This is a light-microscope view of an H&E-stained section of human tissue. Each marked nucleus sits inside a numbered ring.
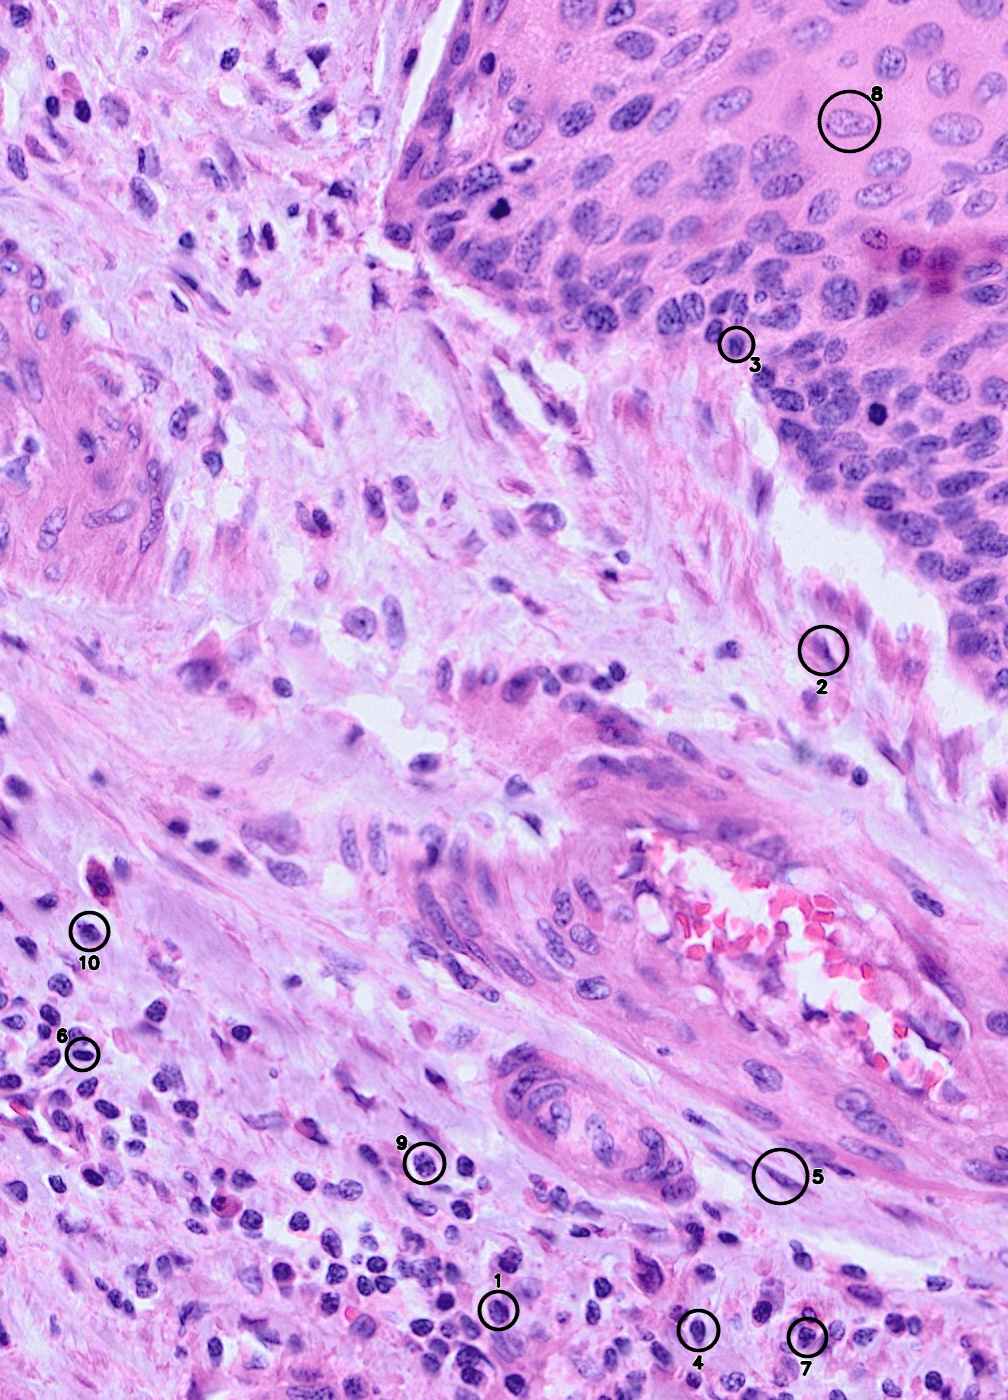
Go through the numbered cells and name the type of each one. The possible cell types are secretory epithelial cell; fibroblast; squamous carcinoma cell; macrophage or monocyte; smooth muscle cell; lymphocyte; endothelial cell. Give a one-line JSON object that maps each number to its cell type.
{"1": "lymphocyte", "2": "fibroblast", "3": "squamous carcinoma cell", "4": "lymphocyte", "5": "fibroblast", "6": "lymphocyte", "7": "lymphocyte", "8": "squamous carcinoma cell", "9": "lymphocyte", "10": "lymphocyte"}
